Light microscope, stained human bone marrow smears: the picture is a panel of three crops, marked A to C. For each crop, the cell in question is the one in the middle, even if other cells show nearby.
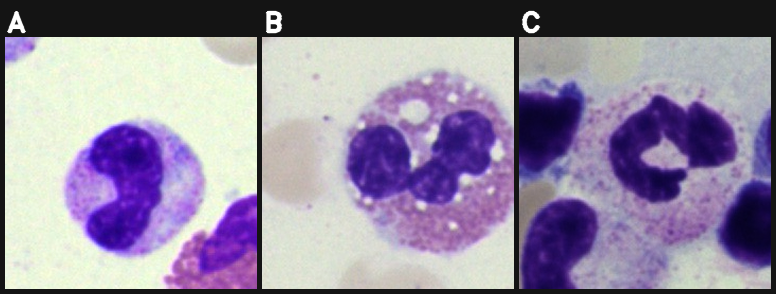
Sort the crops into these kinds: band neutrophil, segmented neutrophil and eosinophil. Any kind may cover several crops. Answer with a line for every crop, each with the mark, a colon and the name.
A: band neutrophil
B: eosinophil
C: segmented neutrophil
